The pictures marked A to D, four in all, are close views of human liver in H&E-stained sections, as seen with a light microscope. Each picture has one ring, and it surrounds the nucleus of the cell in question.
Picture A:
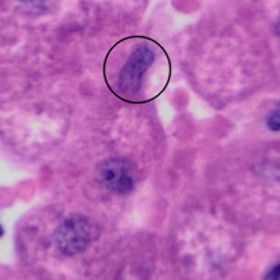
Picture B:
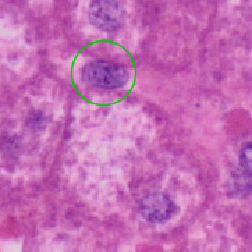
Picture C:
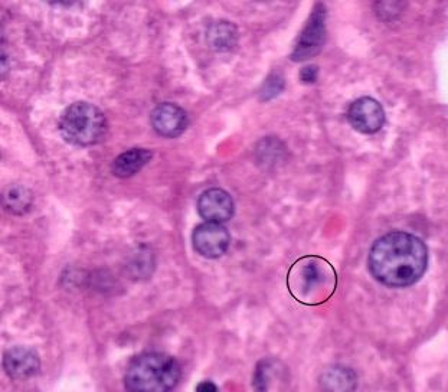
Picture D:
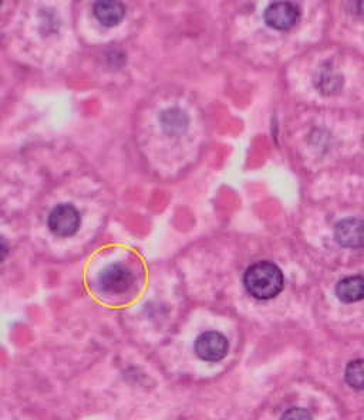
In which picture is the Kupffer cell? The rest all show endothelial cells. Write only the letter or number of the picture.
A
